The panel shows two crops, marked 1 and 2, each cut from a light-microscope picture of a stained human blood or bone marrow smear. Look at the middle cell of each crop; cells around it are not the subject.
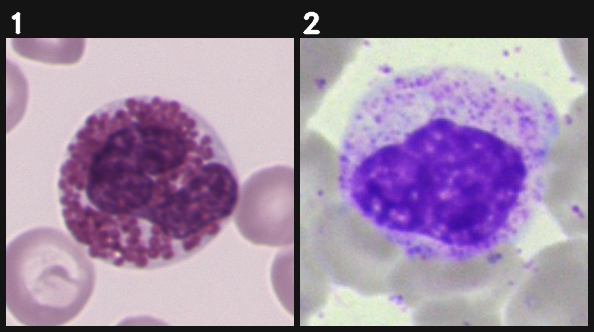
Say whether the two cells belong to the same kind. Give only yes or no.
no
